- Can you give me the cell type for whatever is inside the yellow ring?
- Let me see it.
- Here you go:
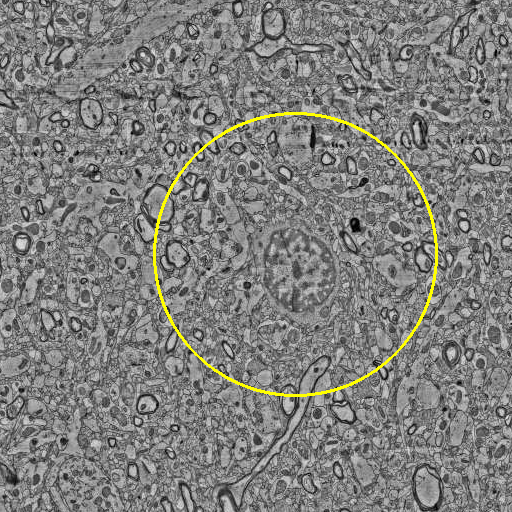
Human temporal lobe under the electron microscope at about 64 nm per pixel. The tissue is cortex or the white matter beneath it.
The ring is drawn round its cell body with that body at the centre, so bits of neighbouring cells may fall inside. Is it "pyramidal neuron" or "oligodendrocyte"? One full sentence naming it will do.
The cell body in the middle of the ring in this picture belongs to an oligodendrocyte.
